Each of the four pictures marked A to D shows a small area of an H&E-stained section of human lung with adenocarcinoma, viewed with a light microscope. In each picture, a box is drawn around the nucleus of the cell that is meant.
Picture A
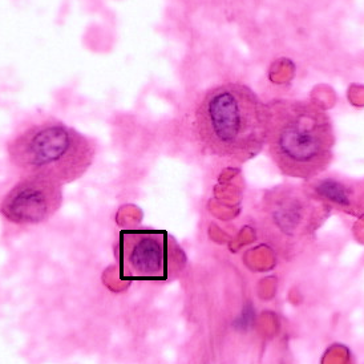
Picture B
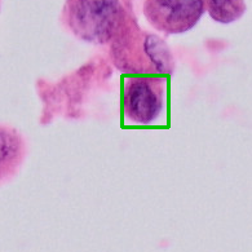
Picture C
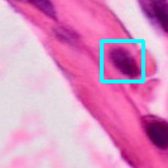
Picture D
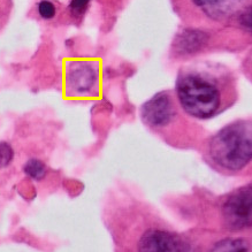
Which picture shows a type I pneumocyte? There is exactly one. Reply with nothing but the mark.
C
